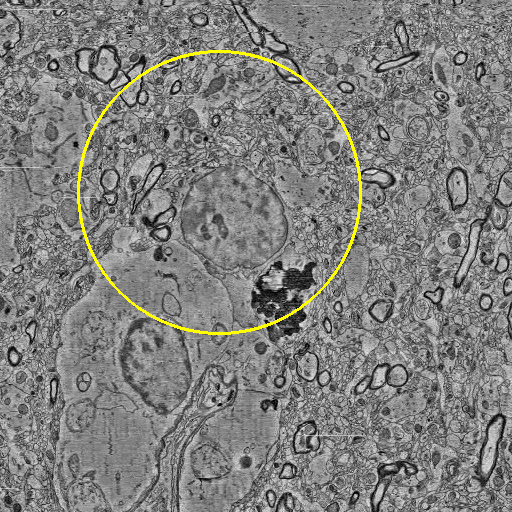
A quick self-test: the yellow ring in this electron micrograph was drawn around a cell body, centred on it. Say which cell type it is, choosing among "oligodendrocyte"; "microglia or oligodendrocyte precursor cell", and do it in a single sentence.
The yellow-ringed cell is an oligodendrocyte.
